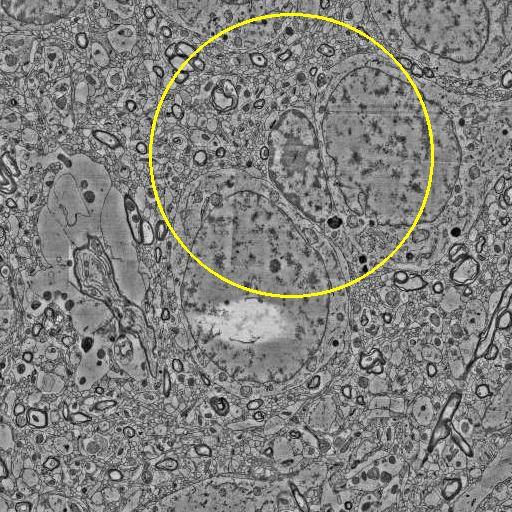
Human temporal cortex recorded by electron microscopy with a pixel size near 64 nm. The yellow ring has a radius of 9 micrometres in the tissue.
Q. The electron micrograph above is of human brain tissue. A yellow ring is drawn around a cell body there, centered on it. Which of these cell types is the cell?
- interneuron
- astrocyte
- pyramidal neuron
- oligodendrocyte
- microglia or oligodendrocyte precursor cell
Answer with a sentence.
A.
The cell under the ring's center is a microglial cell or oligodendrocyte precursor cell.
